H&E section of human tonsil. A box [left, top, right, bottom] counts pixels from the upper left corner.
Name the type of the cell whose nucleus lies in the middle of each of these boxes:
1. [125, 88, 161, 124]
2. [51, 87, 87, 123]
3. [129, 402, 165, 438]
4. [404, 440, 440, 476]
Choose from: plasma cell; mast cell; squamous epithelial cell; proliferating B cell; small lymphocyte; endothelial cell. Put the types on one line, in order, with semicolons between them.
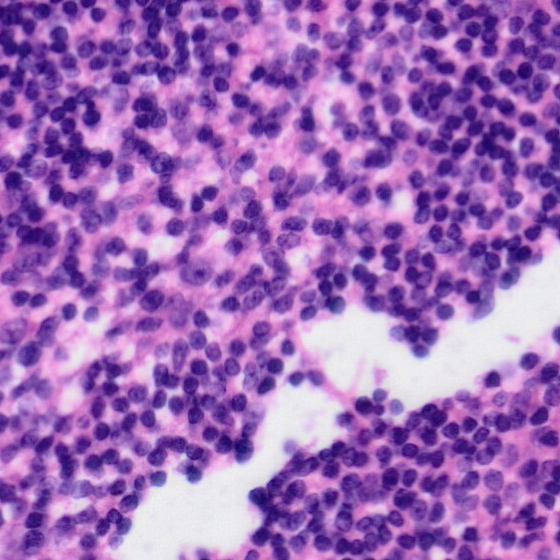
proliferating B cell; small lymphocyte; small lymphocyte; small lymphocyte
